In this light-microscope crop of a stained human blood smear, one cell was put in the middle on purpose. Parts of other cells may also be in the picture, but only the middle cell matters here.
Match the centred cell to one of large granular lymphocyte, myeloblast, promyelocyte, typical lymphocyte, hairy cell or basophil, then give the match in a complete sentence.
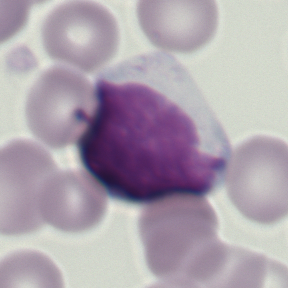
The central cell in this smear crop is a large granular lymphocyte.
